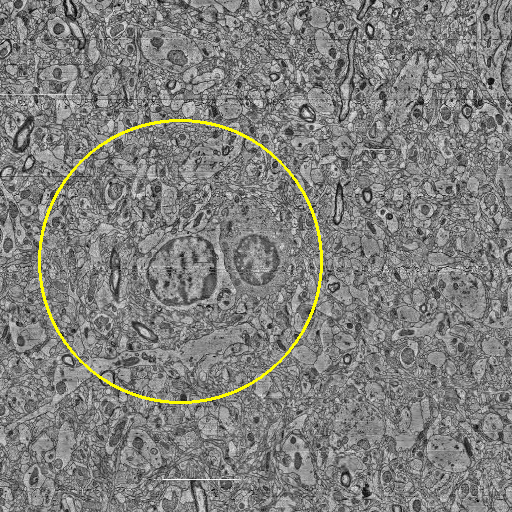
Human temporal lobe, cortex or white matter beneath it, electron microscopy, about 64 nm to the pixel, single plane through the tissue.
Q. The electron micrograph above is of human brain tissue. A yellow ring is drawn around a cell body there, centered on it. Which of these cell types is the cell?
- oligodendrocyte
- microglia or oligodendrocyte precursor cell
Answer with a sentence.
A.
The cell under the ring's center is a microglial cell or oligodendrocyte precursor cell.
